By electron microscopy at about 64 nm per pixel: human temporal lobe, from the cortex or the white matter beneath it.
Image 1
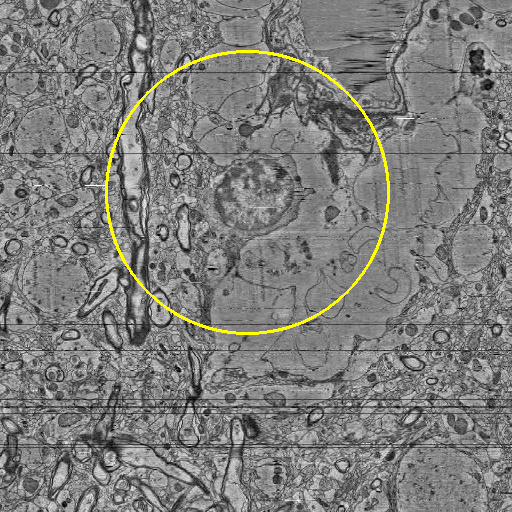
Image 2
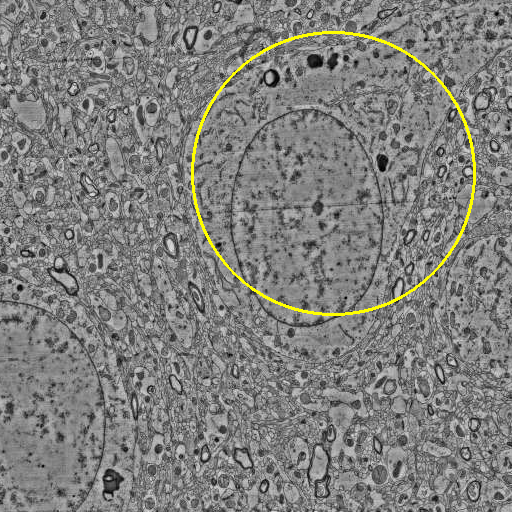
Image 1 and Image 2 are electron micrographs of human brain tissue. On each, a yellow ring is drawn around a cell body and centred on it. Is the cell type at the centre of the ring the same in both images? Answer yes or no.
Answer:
no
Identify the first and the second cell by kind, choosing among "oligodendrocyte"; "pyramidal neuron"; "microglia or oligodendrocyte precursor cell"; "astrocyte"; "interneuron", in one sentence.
The one in the first picture is an oligodendrocyte, while the one in the second is a pyramidal neuron.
